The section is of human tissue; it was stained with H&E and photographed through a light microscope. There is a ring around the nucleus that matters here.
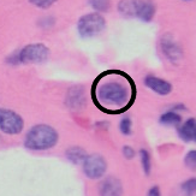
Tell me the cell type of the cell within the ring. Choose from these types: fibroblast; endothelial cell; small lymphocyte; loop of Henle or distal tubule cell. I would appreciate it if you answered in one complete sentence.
On this particular slide, the cell within the ring is a loop of Henle or distal tubule cell.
